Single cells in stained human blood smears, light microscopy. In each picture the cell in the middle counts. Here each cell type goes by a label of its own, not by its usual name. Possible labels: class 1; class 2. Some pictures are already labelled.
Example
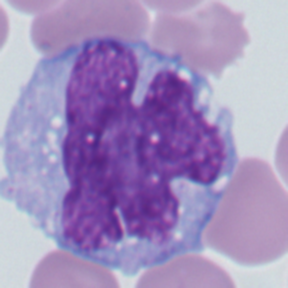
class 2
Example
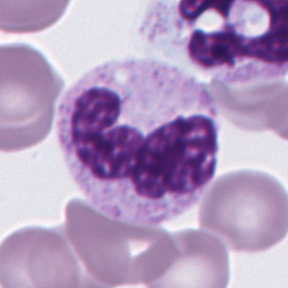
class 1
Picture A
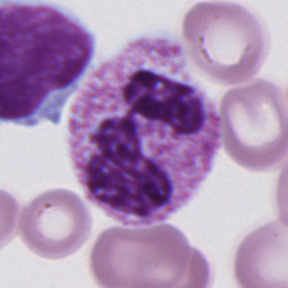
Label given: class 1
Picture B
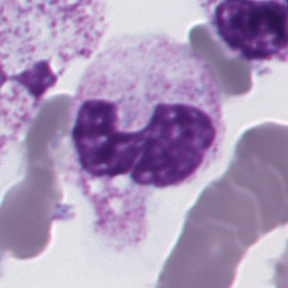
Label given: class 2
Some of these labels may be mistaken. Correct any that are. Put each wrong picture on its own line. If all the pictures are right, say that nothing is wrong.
B: class 1, not class 2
